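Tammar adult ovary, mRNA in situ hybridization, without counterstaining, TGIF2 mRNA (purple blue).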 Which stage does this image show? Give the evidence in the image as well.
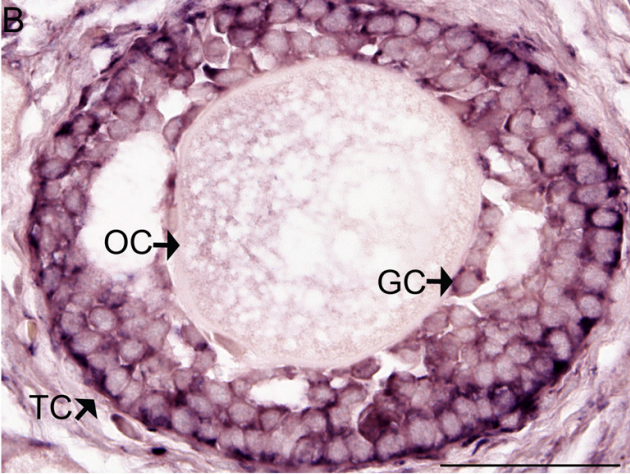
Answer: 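Secondary follicles. A large central oocyte is surrounded by several layers of cuboidal cells. No single large fluid-filled cavity is present in the cell layers. A thin layer of flattened cells surrounds the follicle.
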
